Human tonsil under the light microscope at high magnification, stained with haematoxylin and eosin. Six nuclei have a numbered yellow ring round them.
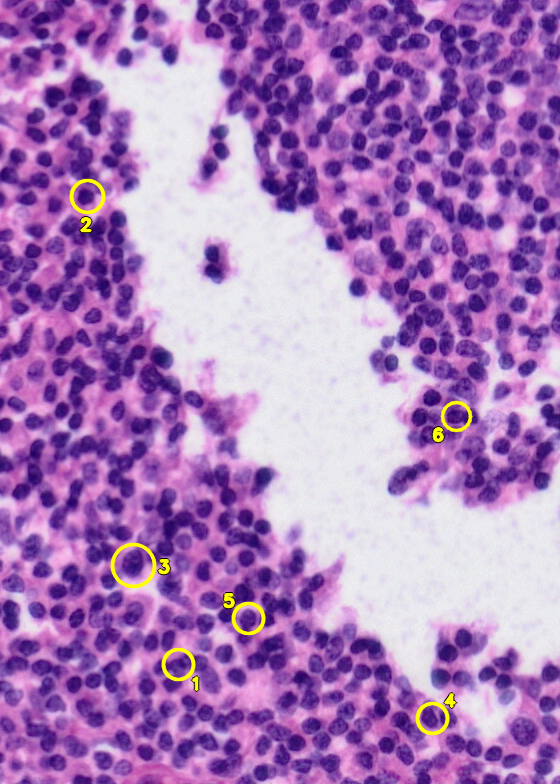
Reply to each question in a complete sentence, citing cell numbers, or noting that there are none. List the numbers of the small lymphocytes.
The cells with the numbers 1, 4, 5 and 6 are small lymphocytes.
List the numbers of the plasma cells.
The nucleus labelled 2 alone belongs to a plasma cell; the other marked nuclei do not.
